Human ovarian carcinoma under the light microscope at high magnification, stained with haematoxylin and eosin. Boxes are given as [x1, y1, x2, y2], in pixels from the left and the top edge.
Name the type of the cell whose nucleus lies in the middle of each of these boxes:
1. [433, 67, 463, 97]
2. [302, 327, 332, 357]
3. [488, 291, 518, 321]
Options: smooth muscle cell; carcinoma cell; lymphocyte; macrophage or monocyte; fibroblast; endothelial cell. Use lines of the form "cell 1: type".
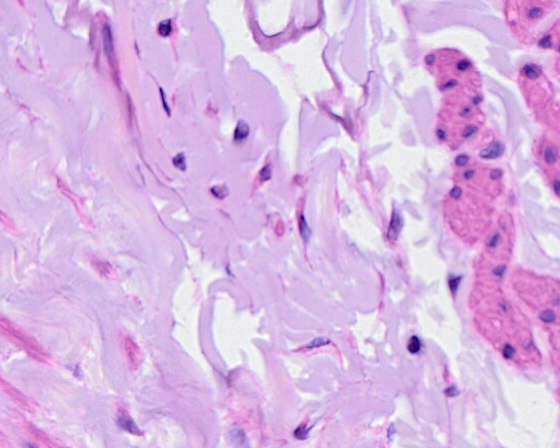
cell 1: smooth muscle cell
cell 2: fibroblast
cell 3: smooth muscle cell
